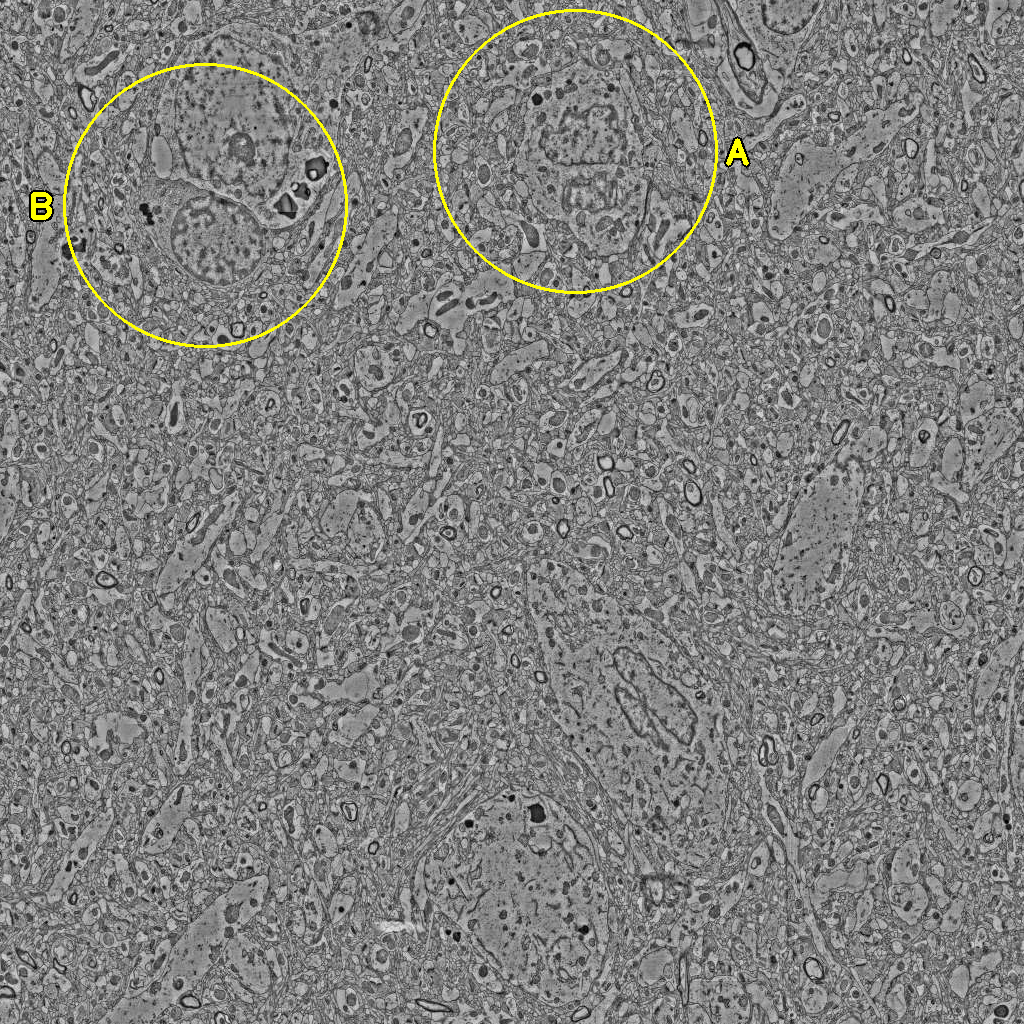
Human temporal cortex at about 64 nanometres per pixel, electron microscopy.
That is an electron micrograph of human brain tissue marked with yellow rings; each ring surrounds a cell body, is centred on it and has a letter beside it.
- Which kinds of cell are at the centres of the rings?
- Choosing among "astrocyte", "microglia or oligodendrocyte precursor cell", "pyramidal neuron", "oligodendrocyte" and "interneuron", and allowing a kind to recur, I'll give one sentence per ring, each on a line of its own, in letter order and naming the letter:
Ring A sits around an interneuron.
Ring B sits around an oligodendrocyte.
